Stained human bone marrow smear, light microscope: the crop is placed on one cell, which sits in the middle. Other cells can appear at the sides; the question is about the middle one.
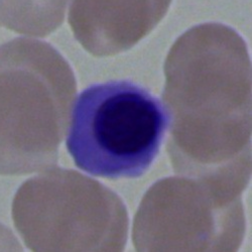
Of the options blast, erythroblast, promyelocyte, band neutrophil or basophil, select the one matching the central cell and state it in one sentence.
The cell of interest, located centrally, is an erythroblast.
